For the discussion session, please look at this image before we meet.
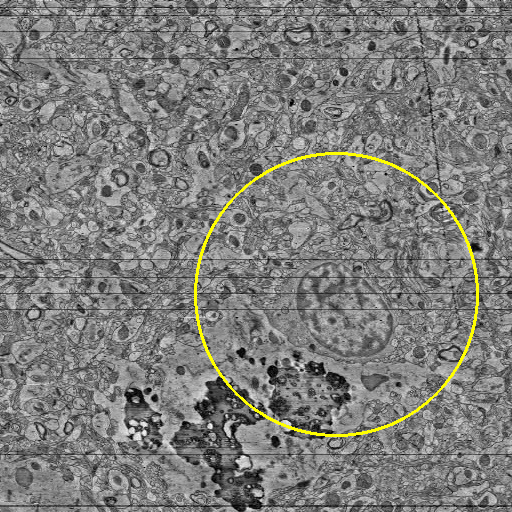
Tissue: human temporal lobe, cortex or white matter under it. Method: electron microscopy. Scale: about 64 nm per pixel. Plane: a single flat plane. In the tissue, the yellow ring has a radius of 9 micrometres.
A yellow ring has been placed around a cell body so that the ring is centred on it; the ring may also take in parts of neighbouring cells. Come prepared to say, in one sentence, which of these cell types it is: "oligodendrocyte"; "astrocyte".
The cell centred in the ring is an oligodendrocyte.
